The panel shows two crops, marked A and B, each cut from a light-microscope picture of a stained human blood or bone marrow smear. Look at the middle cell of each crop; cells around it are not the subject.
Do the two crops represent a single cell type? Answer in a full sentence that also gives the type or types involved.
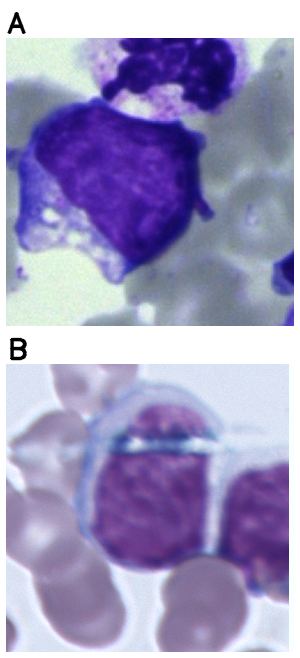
Yes, the centred cells are blasts in both crops.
